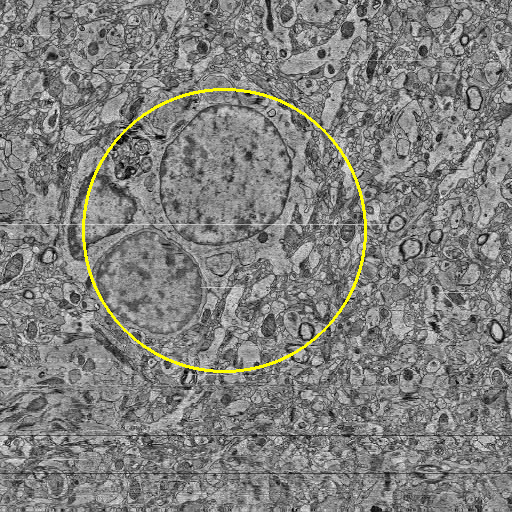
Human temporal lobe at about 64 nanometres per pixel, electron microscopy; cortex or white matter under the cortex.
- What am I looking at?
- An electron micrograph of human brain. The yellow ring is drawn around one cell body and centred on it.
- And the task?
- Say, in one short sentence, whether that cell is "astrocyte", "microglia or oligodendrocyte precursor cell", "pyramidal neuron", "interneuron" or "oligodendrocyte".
The cell in the middle of the ring is an astrocyte.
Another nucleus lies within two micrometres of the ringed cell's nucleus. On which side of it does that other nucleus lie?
The other one lies to the lower left of it.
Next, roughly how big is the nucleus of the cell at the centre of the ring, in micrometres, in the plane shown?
In this plane, approximately 10 by 8 micrometers.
